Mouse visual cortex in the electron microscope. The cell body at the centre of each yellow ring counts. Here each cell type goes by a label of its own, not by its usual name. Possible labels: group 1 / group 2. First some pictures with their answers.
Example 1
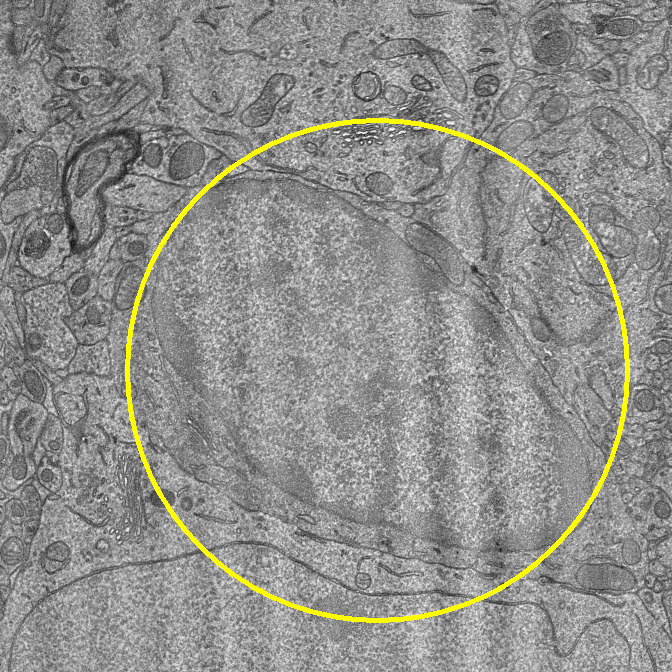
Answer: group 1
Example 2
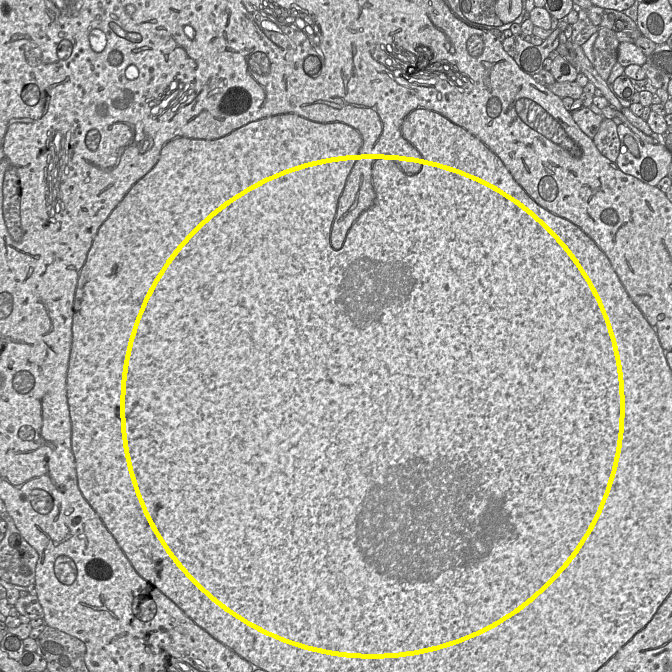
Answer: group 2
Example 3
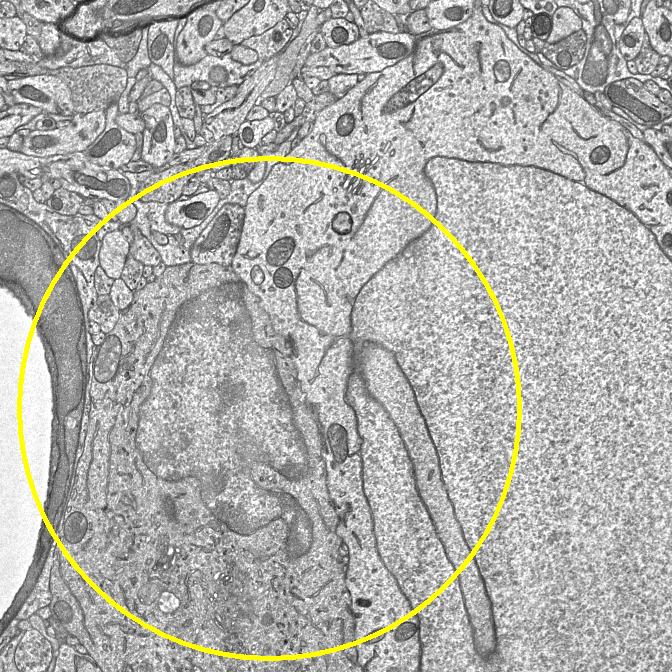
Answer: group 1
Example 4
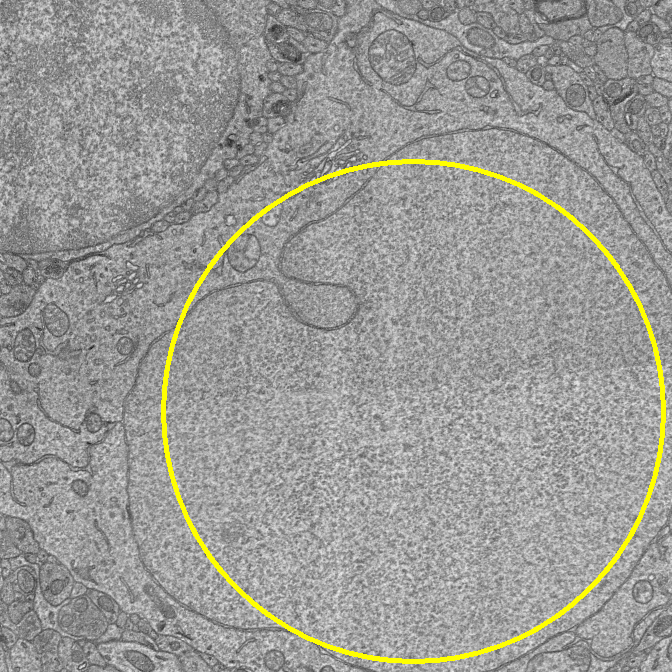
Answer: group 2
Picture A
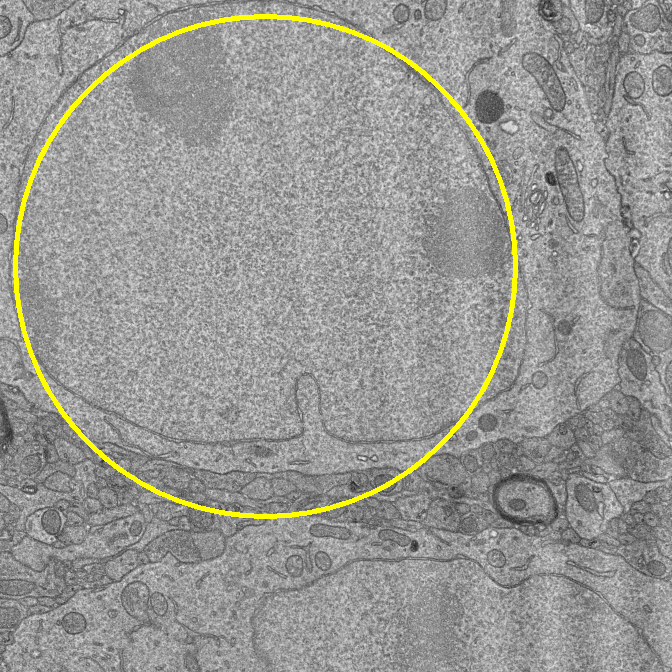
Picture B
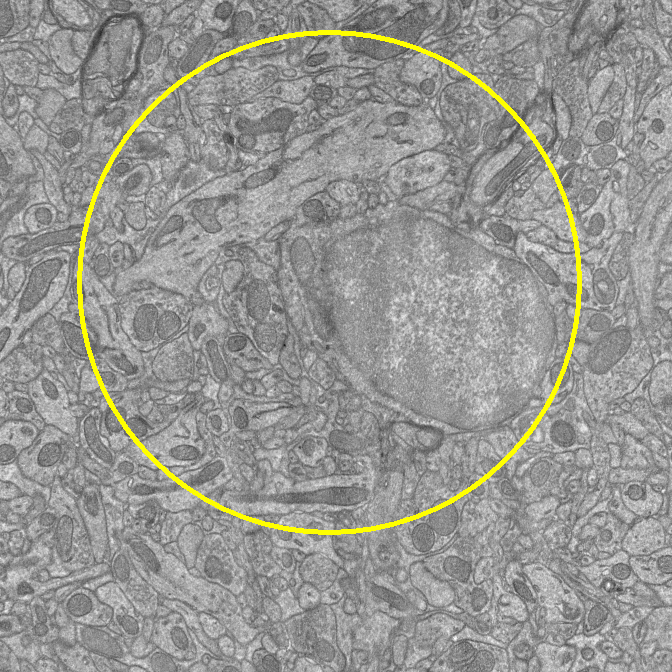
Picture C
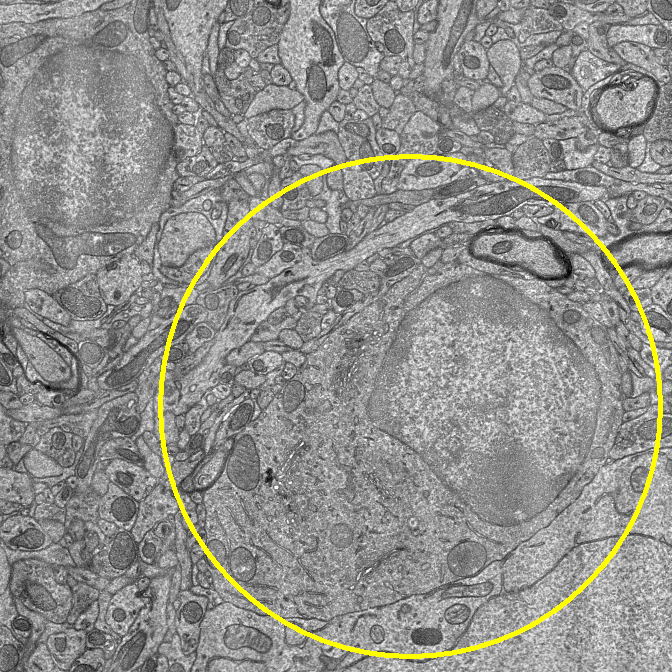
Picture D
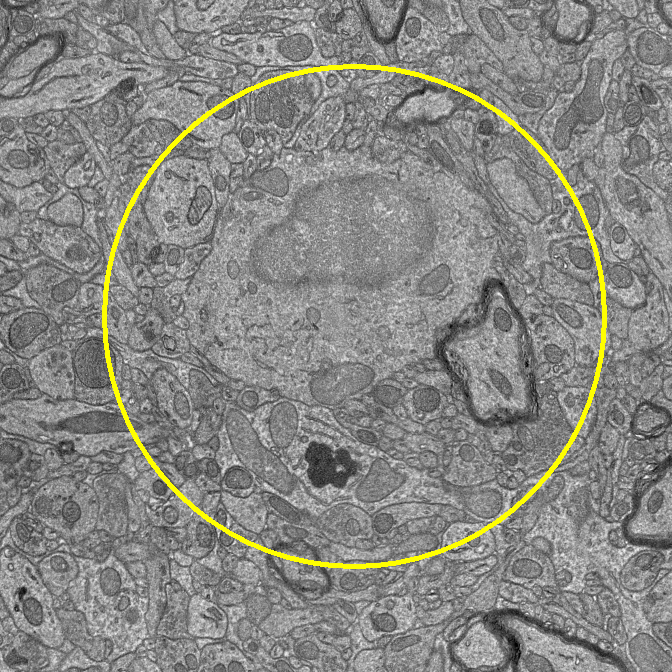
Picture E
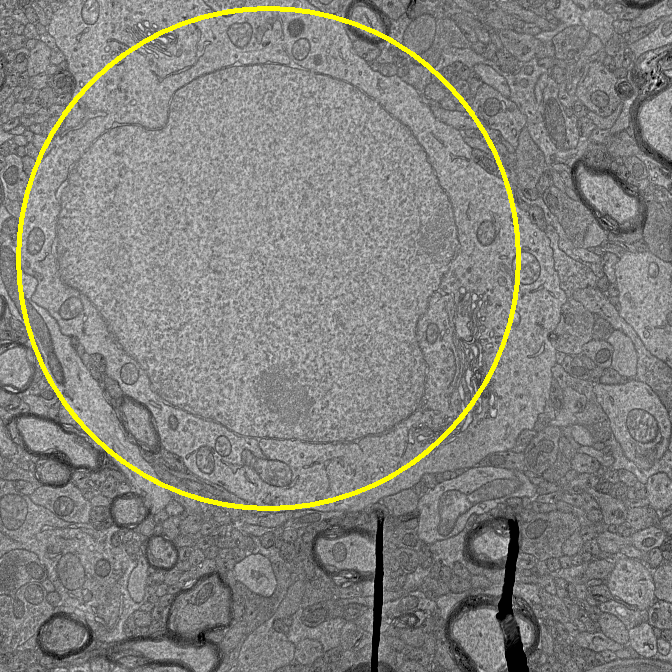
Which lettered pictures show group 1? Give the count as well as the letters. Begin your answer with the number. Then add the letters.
3: B, C, D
